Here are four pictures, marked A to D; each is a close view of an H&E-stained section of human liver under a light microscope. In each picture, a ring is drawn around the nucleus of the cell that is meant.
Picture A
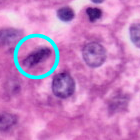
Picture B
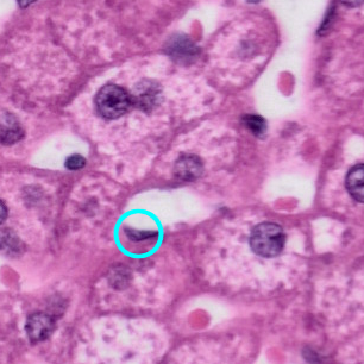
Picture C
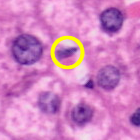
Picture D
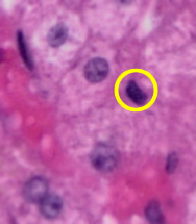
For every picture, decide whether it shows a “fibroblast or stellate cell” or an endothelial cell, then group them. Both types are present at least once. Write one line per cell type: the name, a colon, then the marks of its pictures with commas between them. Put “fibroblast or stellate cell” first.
fibroblast or stellate cell: A, D
endothelial cell: B, C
